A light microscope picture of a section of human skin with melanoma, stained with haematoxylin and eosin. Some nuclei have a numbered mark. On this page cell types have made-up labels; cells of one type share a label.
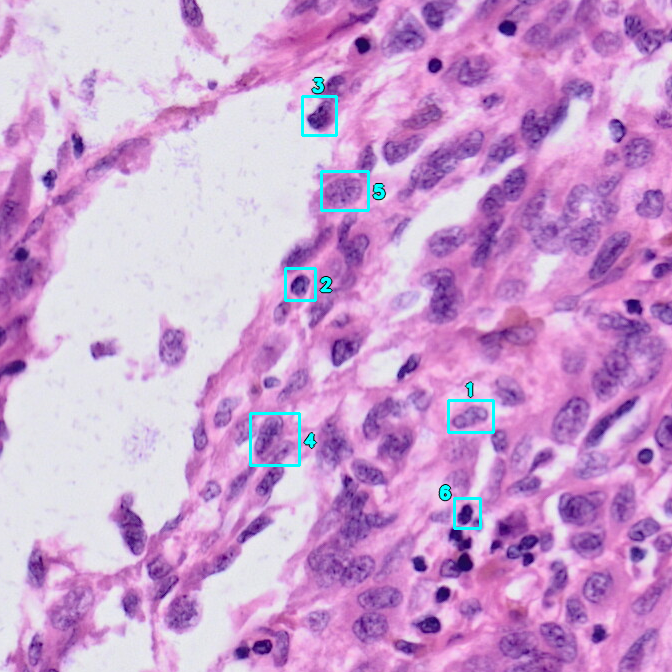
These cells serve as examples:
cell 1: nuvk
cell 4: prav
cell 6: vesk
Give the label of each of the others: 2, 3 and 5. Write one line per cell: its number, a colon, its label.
2: vesk
3: prav
5: prav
